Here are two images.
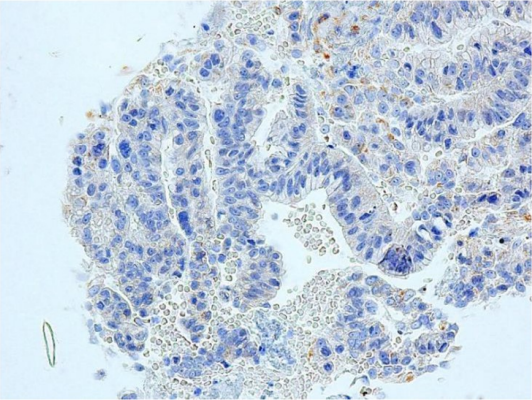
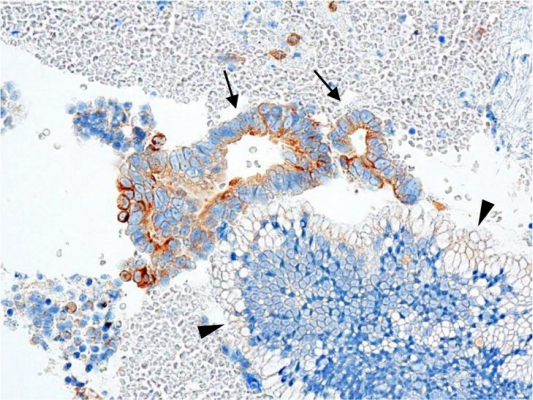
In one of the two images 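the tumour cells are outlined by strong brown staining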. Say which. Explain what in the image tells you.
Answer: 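The second image. First image: the crowded glandular tumour cells show blue nuclei with almost no brown at their borders. Second image: the cluster of tumour cells forming gland-like loops has intense brown staining along cell membranes.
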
